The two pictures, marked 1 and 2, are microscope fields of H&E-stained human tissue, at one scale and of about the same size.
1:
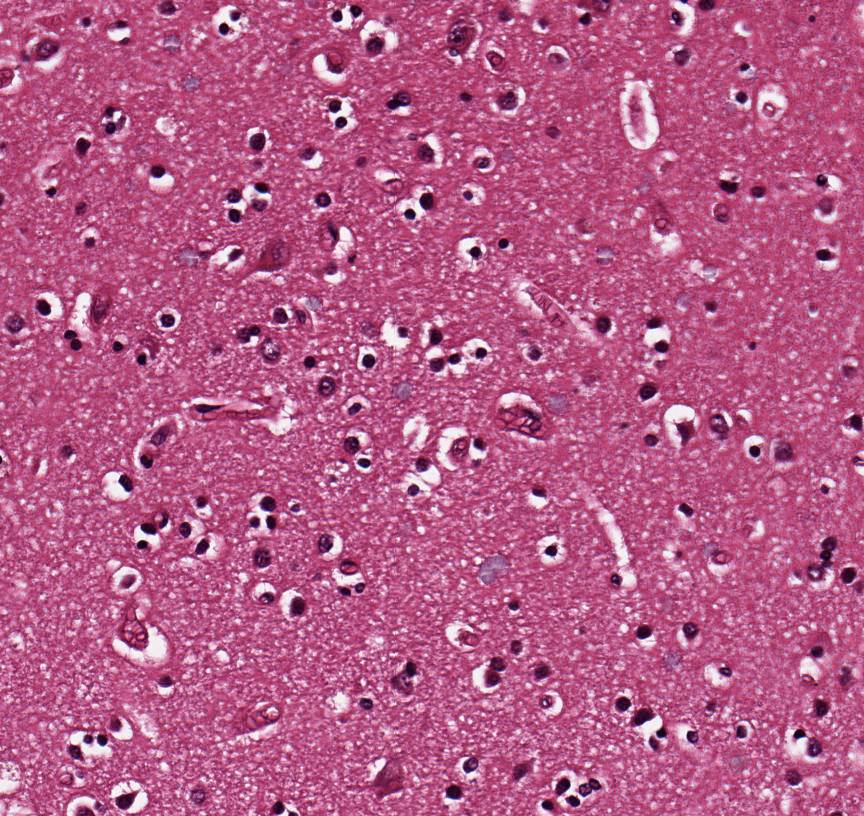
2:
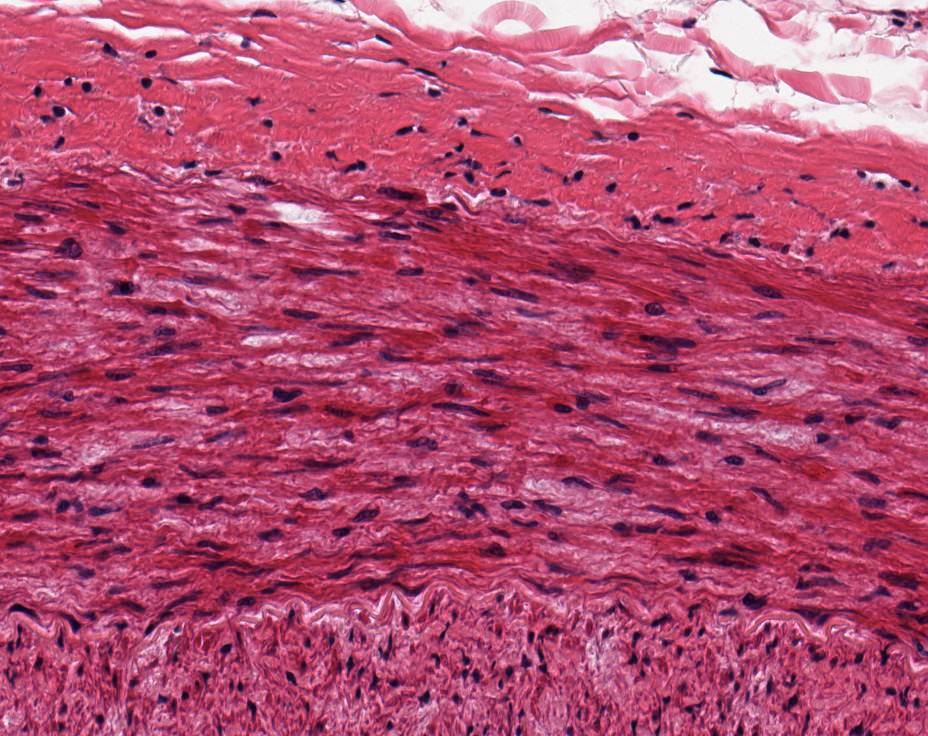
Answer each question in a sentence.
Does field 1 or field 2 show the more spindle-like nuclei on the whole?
The nuclei are more elongated in field 2.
